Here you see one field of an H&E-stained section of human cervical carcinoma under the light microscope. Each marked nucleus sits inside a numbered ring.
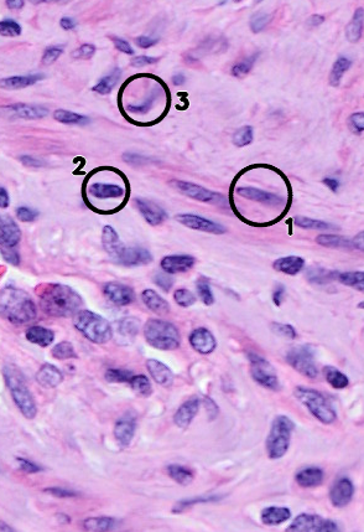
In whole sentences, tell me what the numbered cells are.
Cells 1 and 3 are smooth muscle cells. Cell 2 is a lymphocyte.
